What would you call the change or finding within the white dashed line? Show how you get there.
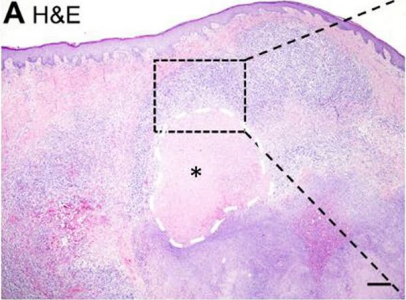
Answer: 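The outlined area is pale pink and nearly devoid of dark nuclei. It is surrounded by densely cellular purple tissue.
Conclusion: necrotic tissue regions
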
